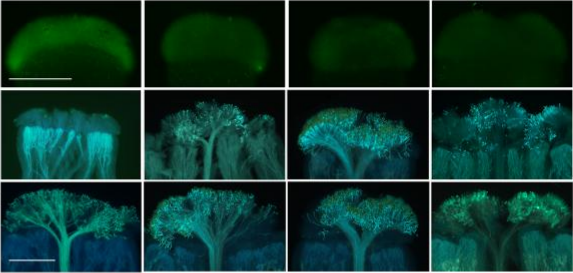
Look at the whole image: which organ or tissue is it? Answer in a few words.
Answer: Stigmas.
